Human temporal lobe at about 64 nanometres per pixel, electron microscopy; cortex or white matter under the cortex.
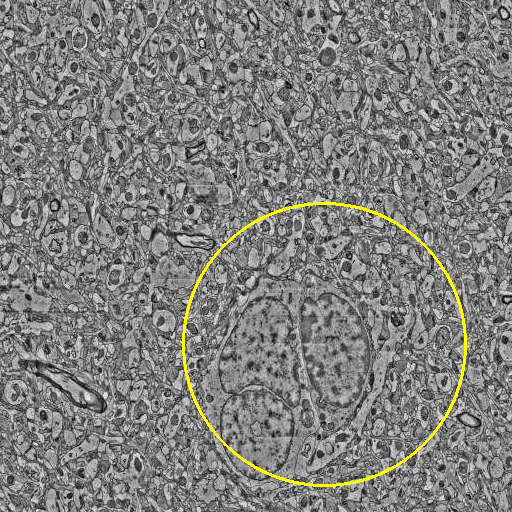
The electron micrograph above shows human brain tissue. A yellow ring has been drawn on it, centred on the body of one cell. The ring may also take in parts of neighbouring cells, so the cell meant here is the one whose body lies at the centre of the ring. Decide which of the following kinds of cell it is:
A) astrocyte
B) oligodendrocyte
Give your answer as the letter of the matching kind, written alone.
B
